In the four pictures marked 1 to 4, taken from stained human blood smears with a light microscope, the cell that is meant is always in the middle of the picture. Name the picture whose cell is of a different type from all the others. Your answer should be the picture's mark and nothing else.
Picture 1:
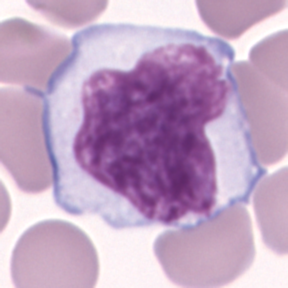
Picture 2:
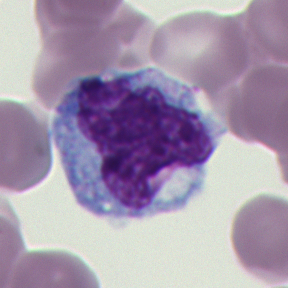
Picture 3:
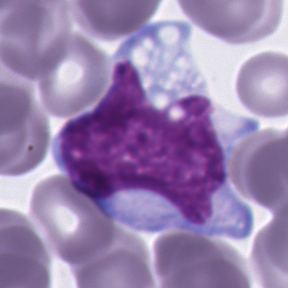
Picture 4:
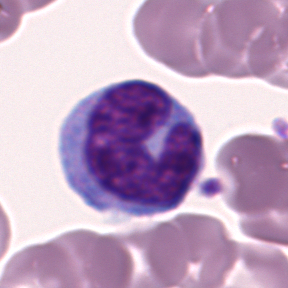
1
